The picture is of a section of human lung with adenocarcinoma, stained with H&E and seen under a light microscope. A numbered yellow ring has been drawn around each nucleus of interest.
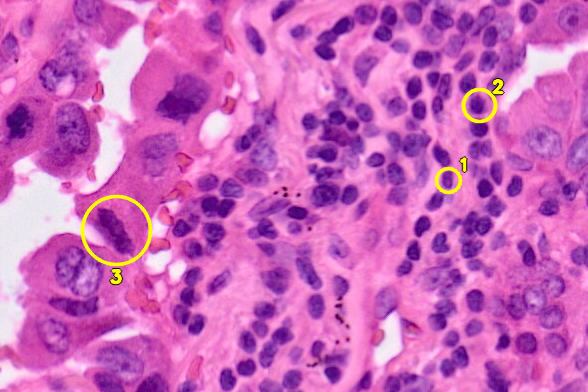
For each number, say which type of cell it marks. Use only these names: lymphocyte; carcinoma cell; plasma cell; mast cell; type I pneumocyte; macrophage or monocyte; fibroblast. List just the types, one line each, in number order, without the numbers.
lymphocyte
lymphocyte
carcinoma cell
